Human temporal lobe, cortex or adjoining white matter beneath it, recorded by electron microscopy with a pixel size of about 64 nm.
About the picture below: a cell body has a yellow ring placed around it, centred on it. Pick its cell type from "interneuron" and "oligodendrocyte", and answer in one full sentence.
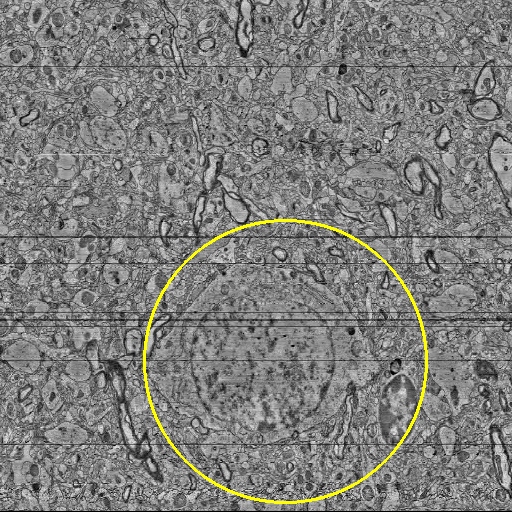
In the picture, an interneuron is the cell sitting at the centre of the yellow ring.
